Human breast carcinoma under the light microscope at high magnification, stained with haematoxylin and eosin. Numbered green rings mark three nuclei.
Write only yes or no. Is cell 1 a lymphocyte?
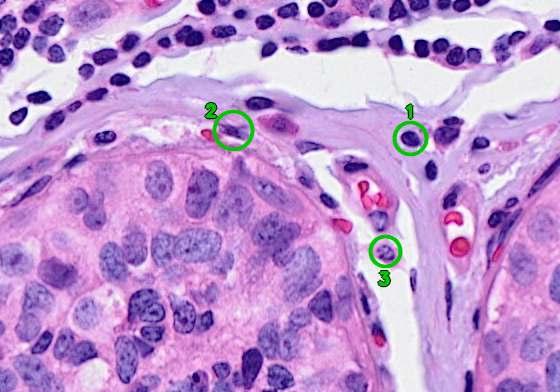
yes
